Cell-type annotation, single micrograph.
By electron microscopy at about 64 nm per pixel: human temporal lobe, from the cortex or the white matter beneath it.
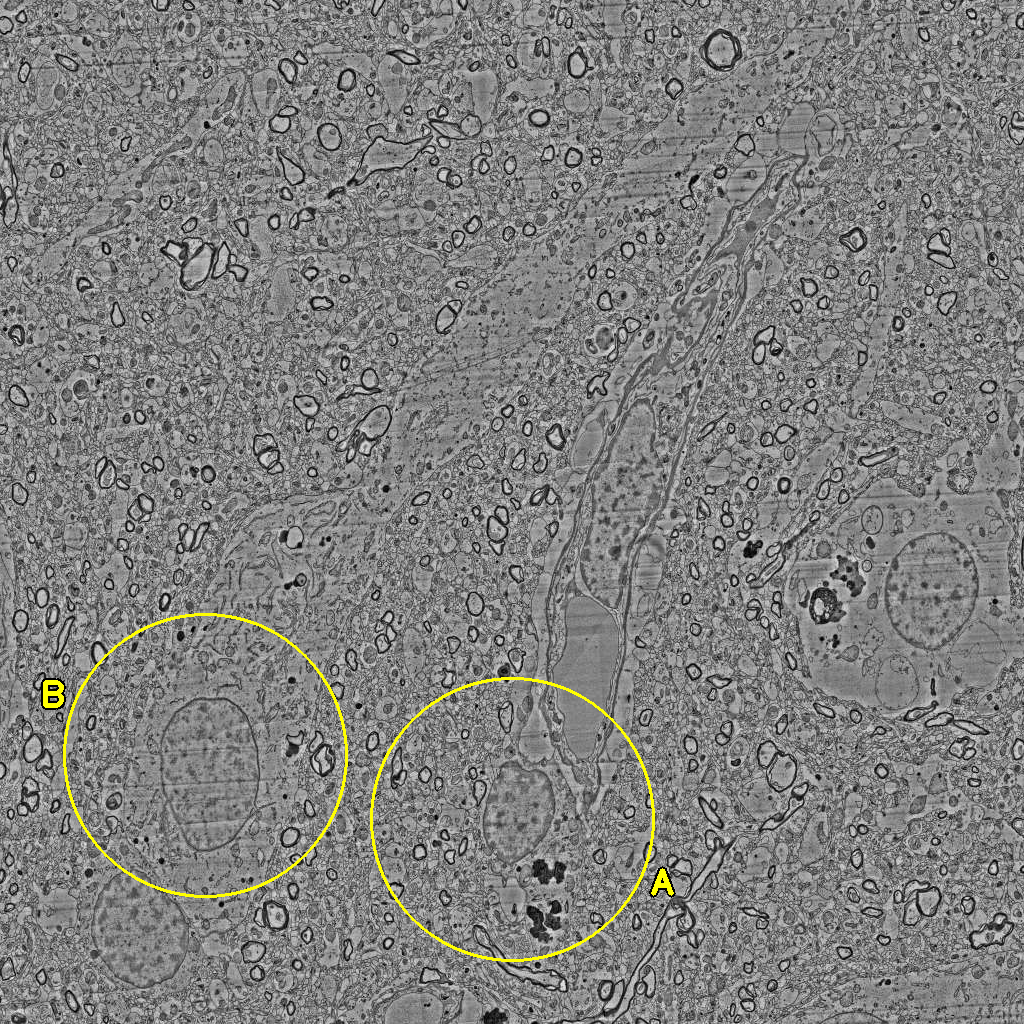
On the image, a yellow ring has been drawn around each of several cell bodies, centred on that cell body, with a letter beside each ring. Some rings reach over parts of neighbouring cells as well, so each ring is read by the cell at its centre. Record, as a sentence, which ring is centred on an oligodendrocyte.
Ring A is centred on it.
